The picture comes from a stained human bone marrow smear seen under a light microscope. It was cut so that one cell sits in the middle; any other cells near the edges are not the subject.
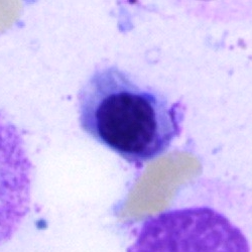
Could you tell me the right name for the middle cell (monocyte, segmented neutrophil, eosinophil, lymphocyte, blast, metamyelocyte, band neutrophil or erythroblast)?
erythroblast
